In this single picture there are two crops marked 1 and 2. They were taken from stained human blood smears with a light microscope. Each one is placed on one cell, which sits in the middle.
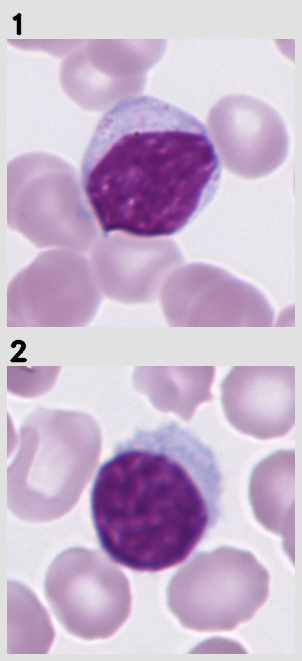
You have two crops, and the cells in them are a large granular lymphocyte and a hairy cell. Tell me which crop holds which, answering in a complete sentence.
Crop 2 contains a hairy cell, whereas crop 1 contains a large granular lymphocyte.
